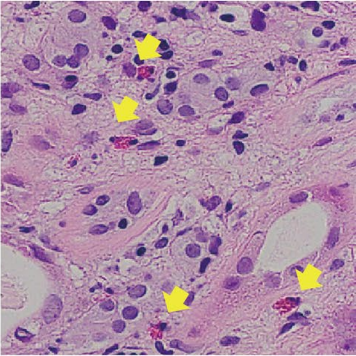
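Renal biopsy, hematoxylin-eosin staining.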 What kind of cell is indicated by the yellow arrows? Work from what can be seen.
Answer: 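Eosinophils. The marked cells have bright red-orange granular cytoplasm. They lie scattered in the interstitium among cells with round dark nuclei.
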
